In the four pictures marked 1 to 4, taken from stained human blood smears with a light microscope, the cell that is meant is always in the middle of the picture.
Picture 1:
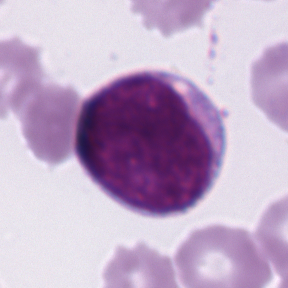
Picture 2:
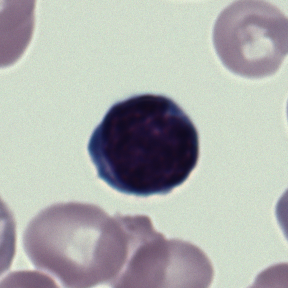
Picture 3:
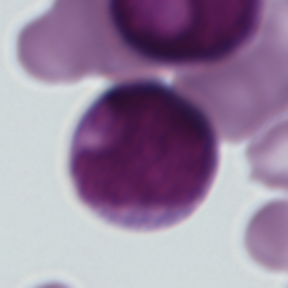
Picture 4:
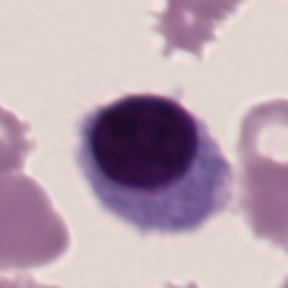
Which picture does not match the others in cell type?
4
